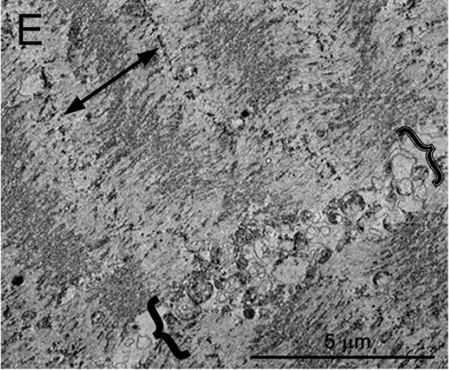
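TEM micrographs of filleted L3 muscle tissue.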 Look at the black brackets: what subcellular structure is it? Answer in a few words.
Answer: Damaged organelles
